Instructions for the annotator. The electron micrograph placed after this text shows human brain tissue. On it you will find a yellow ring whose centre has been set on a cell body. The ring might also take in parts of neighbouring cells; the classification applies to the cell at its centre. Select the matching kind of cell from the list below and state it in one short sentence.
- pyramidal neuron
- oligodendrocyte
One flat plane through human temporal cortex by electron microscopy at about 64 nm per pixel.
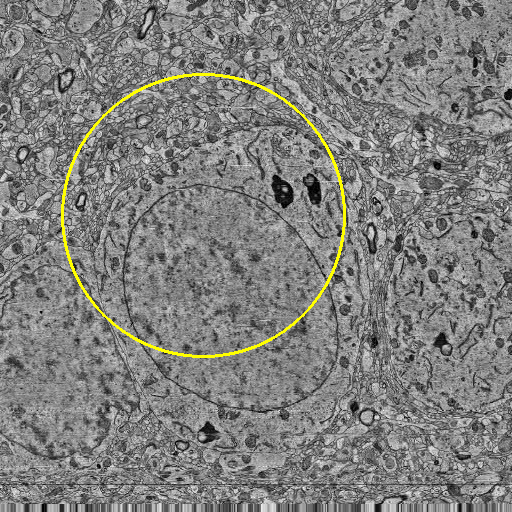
The ring is drawn on the cell body of a pyramidal neuron.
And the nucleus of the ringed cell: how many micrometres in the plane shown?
The nucleus measures about 16 by 13 micrometres in this plane.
